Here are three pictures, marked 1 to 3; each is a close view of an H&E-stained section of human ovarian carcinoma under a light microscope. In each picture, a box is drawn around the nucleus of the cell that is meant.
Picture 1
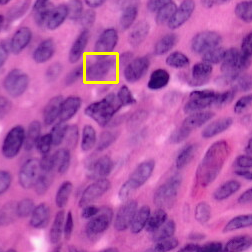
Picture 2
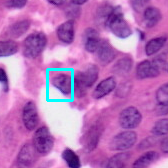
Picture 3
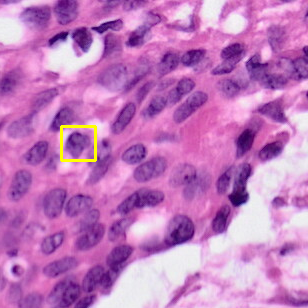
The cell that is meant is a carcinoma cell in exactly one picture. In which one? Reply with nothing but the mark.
1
